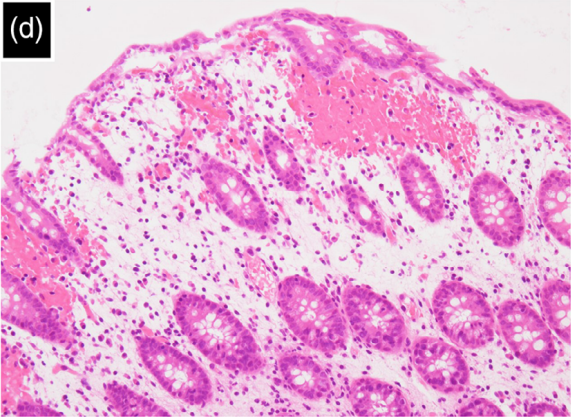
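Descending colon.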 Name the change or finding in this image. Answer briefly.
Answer: Mucosal edema with hemorrhage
